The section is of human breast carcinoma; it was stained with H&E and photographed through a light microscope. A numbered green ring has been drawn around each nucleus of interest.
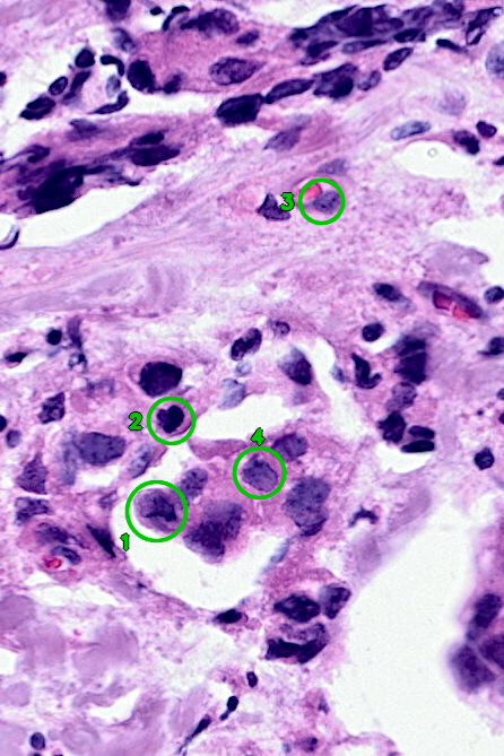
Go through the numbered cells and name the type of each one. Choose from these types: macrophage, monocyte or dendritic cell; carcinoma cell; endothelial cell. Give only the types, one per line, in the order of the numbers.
carcinoma cell
carcinoma cell
endothelial cell
carcinoma cell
